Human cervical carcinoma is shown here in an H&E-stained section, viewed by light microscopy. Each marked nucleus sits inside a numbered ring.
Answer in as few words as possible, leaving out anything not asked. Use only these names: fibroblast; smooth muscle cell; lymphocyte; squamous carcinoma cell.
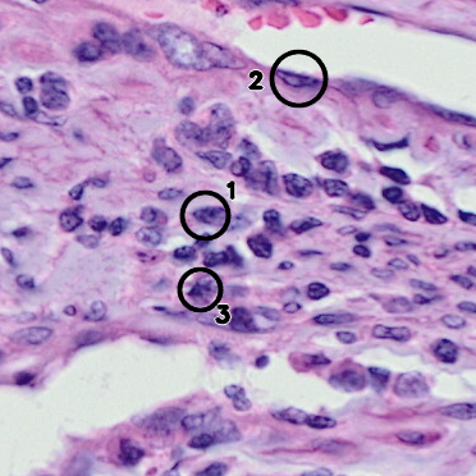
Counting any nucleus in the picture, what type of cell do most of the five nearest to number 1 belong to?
lymphocyte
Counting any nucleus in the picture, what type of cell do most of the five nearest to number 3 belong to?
lymphocyte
